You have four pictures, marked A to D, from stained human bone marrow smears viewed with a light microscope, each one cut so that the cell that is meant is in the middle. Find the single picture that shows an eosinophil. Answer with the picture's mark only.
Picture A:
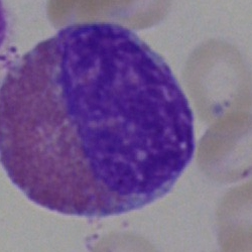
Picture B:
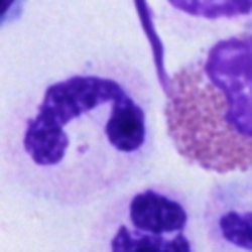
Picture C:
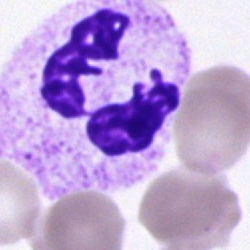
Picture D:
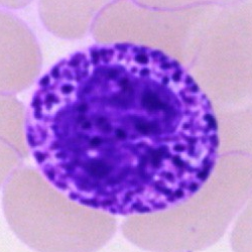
A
